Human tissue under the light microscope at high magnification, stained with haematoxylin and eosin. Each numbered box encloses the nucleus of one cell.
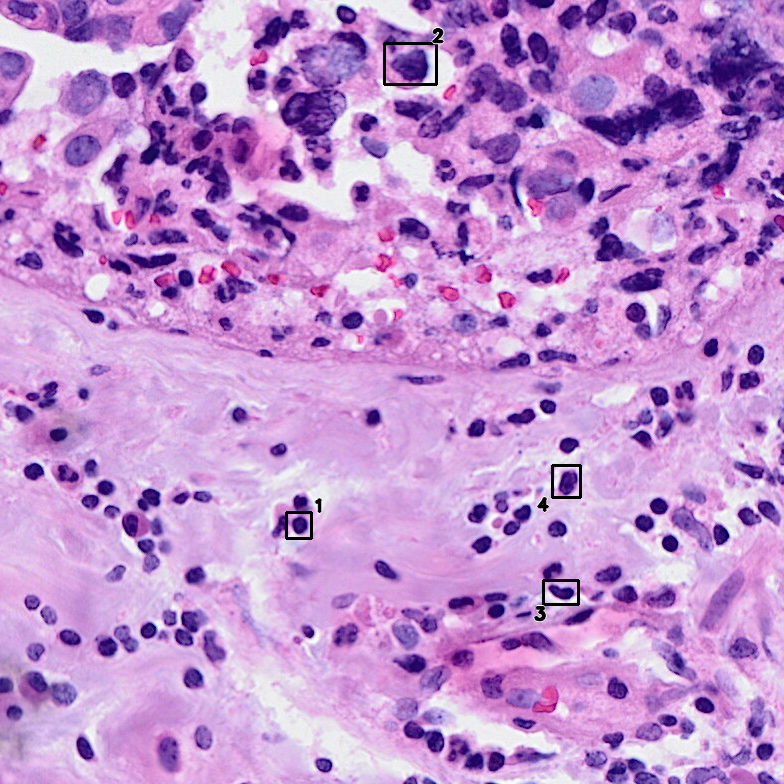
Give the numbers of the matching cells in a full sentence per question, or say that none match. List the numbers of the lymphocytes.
The identity of cells 1, 3 and 4: they are lymphocytes.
